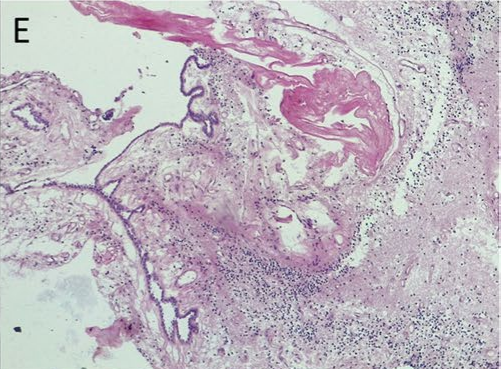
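Fragments of a cyst wall made of delicate pink fibrous connective tissue are seen. A thin, wavy layer of lining cells runs along the free surfaces. The underlying stroma is loose and pale, with wide clear spaces, and holds many small dark round nuclei of infiltrating inflammatory cells, densest toward the right. Denser, bright pink fibrous strands lie at the top.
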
